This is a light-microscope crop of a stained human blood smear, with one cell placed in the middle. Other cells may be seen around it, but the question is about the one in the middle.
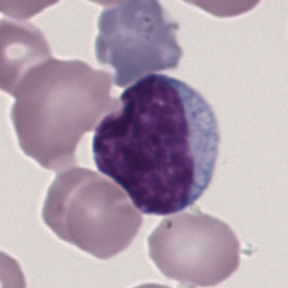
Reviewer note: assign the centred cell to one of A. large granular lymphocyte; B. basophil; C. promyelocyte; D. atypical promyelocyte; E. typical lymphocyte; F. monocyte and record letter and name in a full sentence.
As the central cell is a typical lymphocyte, option E is correct.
